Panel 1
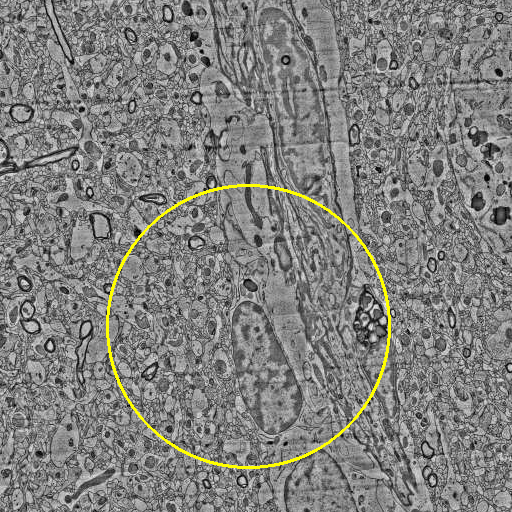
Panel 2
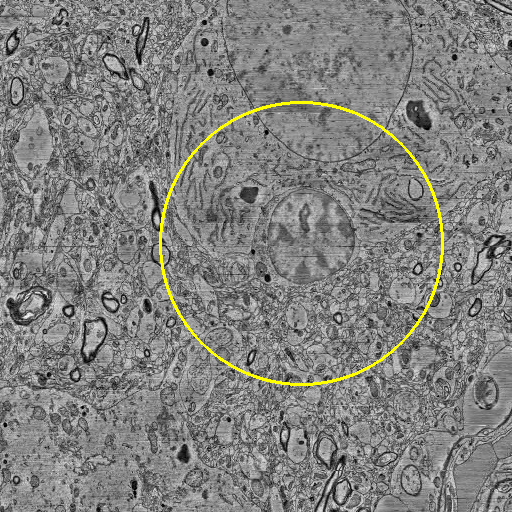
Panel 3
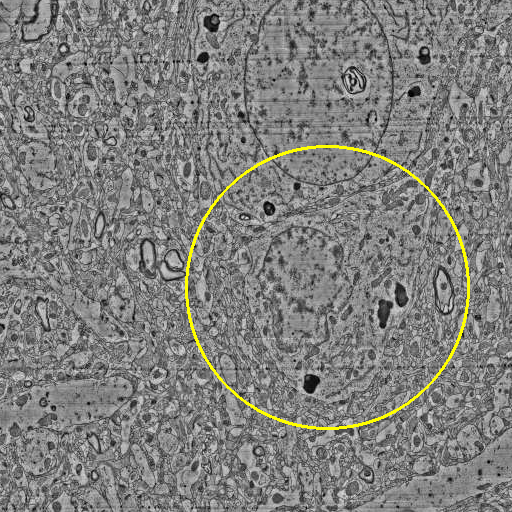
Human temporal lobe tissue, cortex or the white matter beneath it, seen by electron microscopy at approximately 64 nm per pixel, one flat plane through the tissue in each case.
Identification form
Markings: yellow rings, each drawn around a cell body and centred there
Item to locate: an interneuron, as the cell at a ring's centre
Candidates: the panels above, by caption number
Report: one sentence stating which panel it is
It is Panel 3.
